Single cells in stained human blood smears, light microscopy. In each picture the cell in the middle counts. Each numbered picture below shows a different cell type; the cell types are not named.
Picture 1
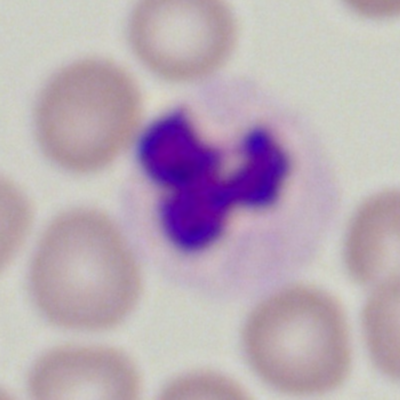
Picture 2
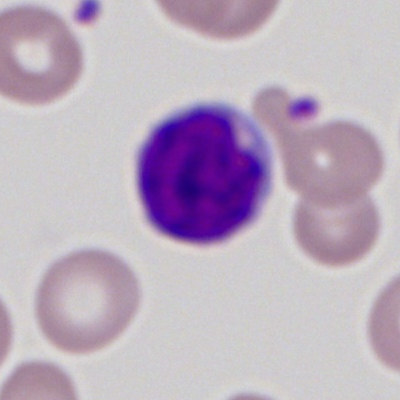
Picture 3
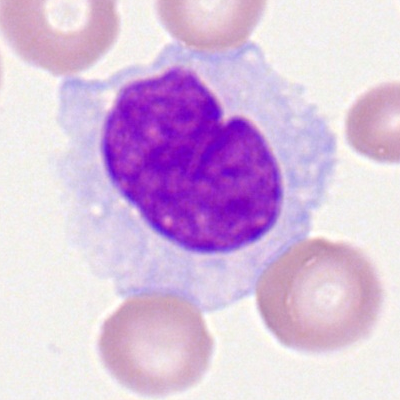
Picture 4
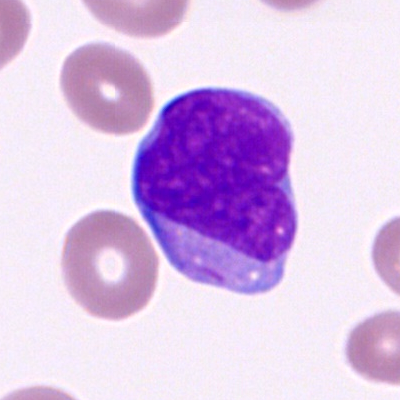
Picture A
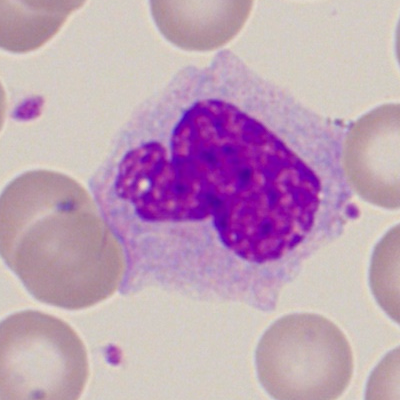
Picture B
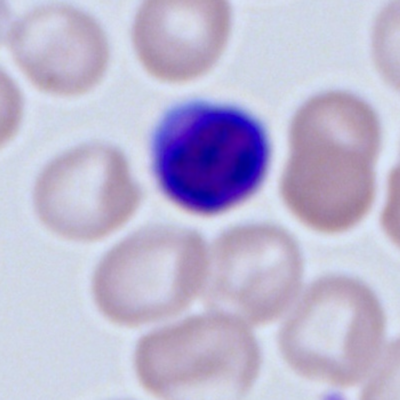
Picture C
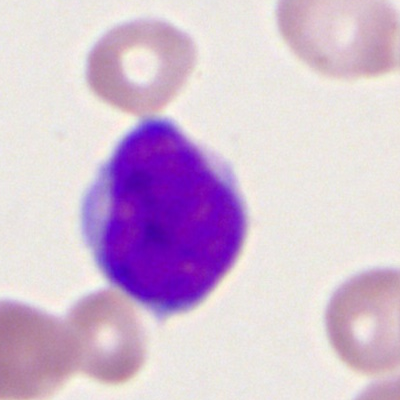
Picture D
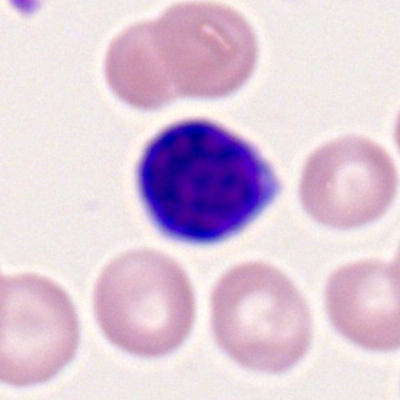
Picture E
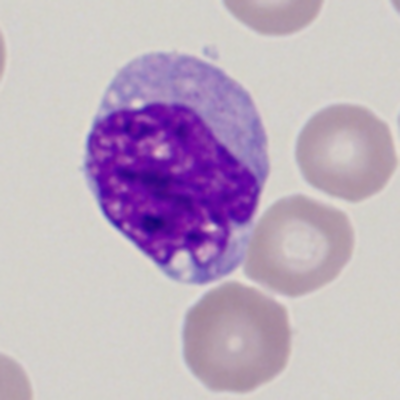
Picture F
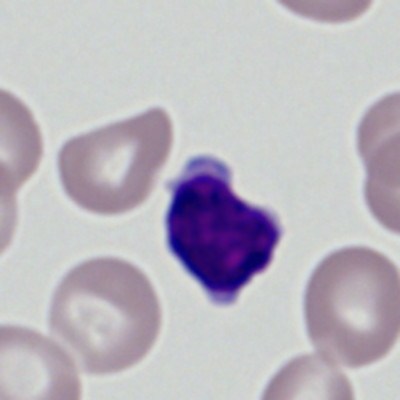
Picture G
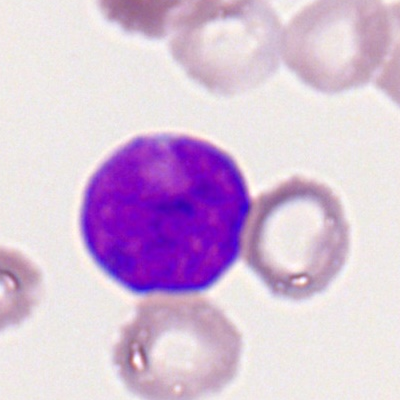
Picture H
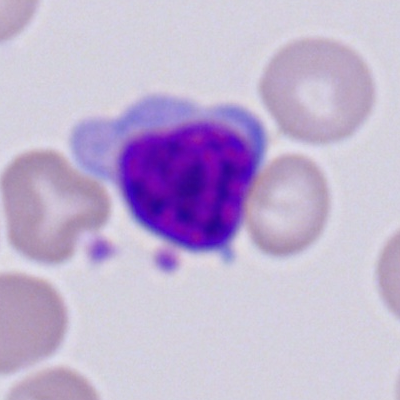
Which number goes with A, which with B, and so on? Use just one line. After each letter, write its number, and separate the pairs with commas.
A 3, B 2, C 4, D 2, E 3, F 2, G 4, H 2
